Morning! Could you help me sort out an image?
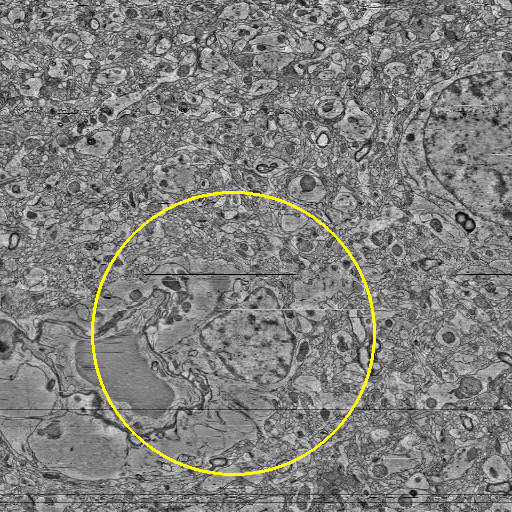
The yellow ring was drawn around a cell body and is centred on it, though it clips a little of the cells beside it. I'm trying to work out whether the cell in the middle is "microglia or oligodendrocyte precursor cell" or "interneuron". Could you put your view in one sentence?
The ringed cell body is that of a microglial cell or oligodendrocyte precursor cell.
